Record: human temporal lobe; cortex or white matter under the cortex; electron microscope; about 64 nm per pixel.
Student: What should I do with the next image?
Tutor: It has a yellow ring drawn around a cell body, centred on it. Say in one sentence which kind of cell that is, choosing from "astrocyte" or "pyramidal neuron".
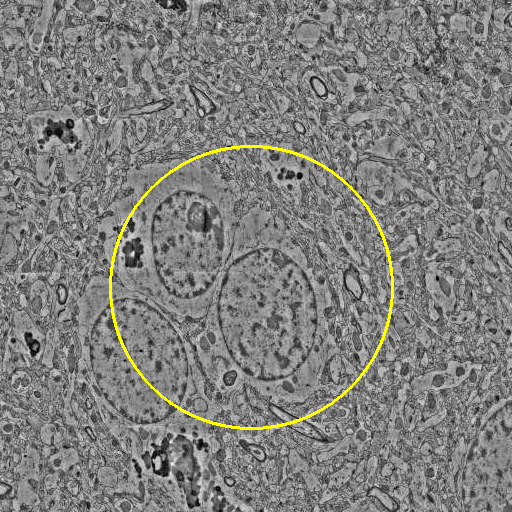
The ring's centre is occupied by an astrocyte.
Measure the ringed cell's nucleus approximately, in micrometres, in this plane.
Approximately 8 by 6 micrometers in this plane.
